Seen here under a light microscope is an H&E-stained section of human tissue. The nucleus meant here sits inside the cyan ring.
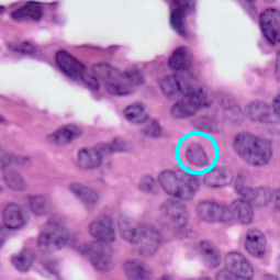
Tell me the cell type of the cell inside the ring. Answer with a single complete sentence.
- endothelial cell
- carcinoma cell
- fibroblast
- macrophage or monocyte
Among the cells in this section, the cell inside the ring is a macrophage or monocyte.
